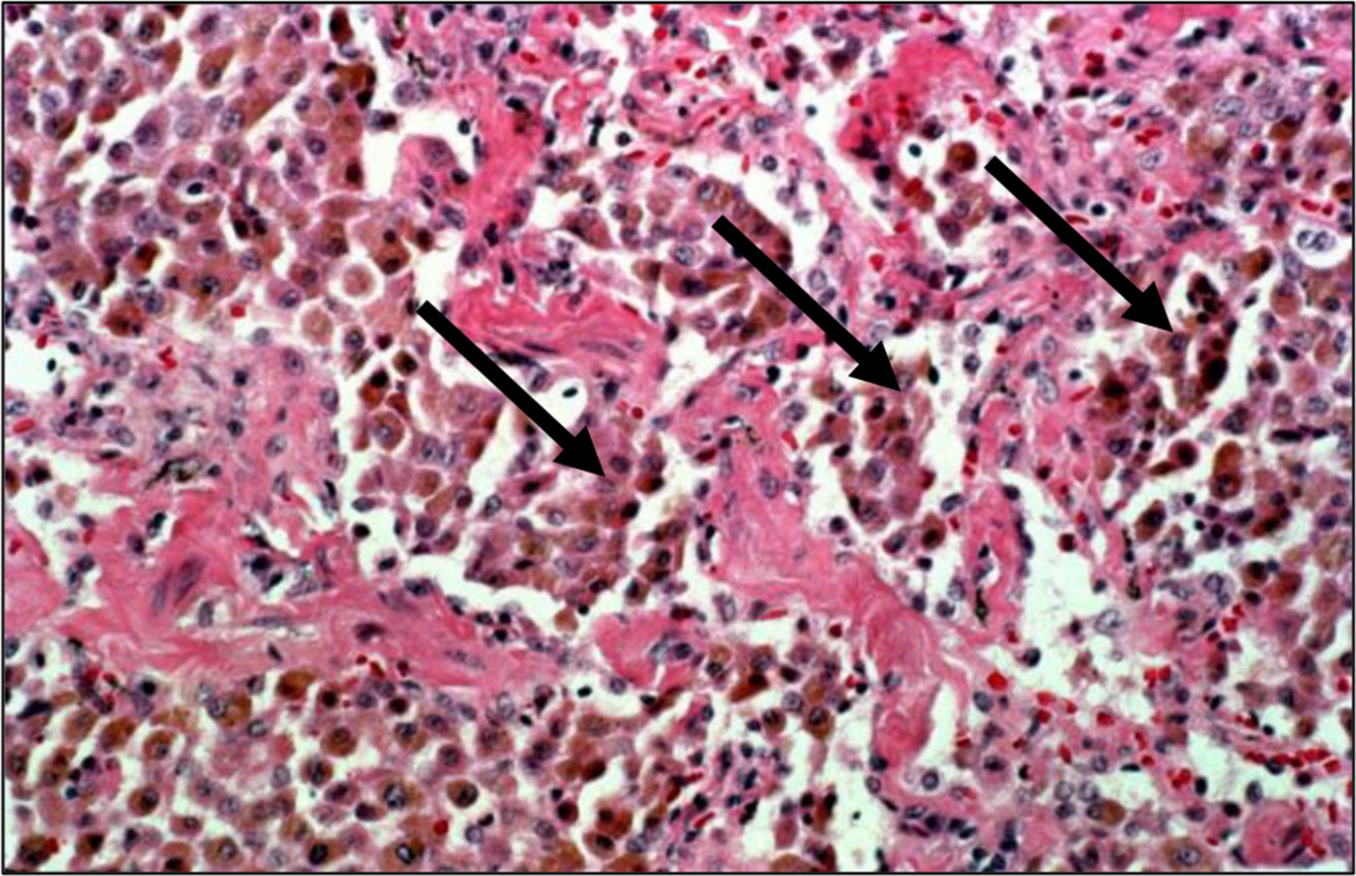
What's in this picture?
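Lung alveolar region with air spaces filled by numerous large, rounded macrophages lying singly and in loose clusters. Their abundant cytoplasm ranges from pink to golden brown and holds fine brown granules, and each has a round to oval nucleus. Pink fibrous septa run between the crowded air spaces, with scattered red blood cells.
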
